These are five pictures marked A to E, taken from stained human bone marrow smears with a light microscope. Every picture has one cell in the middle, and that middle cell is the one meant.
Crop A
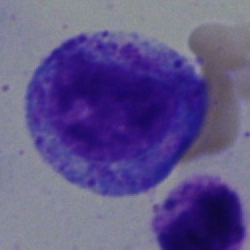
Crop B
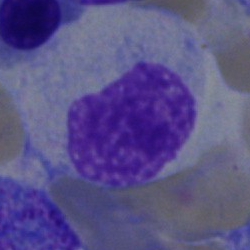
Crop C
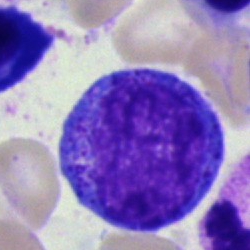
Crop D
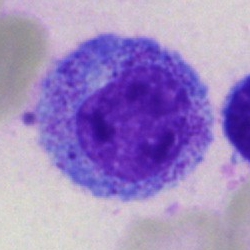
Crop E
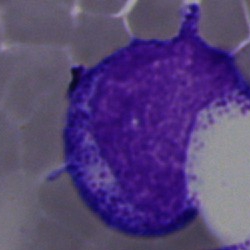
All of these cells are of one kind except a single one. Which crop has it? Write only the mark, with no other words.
B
